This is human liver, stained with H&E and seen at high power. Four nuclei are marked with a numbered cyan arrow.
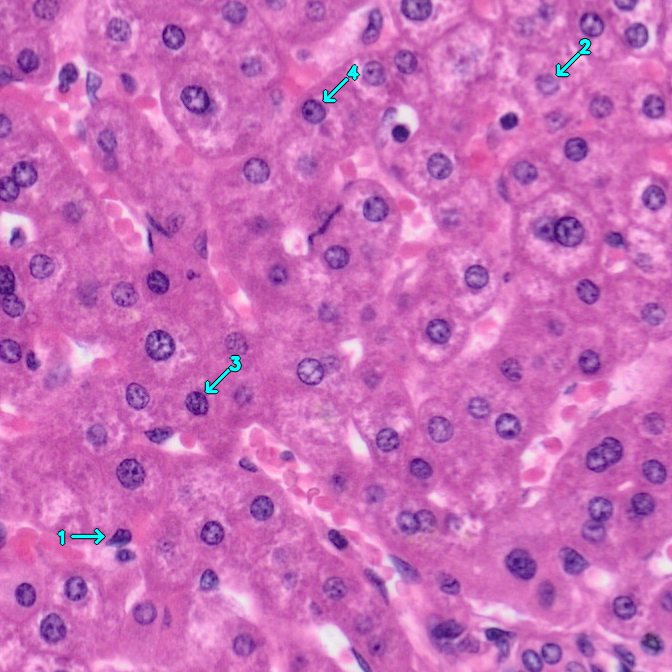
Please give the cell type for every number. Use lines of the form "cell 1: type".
cell 1: endothelial cell
cell 2: hepatocyte
cell 3: hepatocyte
cell 4: hepatocyte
